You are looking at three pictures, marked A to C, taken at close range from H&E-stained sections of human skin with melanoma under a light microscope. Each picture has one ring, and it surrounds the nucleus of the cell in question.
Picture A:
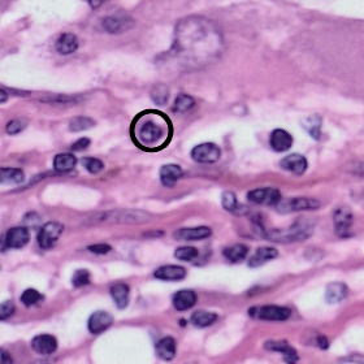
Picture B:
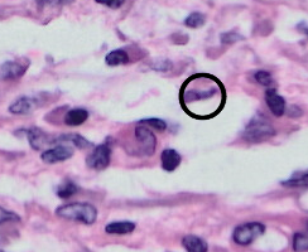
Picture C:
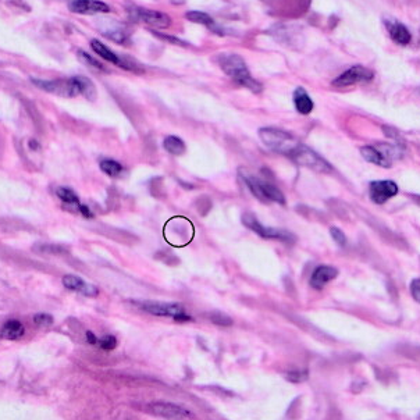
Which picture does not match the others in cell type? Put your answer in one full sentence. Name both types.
All pictures except A show “fibroblasts or myofibroblasts”; picture A shows a plasma cell.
